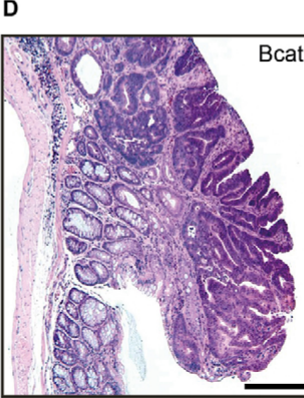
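Section of colonic wall with a polypoid adenoma rising from the mucosa and projecting toward the lumen on the right. At the left and lower part, regular crypts with pale, mucin-filled goblet cells persist beside the lesion. Beneath the mucosa lie loose pink submucosa and a band of pink smooth muscle forming the wall.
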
